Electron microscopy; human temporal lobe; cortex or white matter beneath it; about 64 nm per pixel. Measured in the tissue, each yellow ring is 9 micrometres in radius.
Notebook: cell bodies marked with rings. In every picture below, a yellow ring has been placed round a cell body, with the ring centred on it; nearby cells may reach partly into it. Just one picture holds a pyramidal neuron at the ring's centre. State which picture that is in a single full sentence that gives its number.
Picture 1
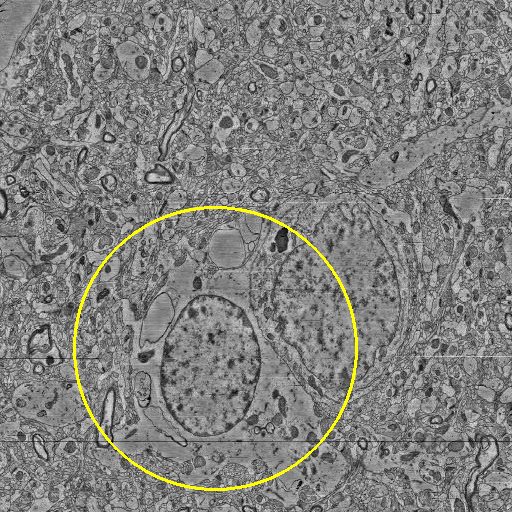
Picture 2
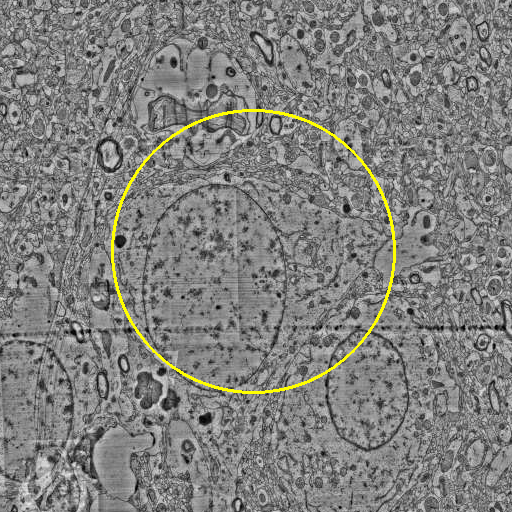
It is picture 2 whose ring has the wanted cell right at its centre.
